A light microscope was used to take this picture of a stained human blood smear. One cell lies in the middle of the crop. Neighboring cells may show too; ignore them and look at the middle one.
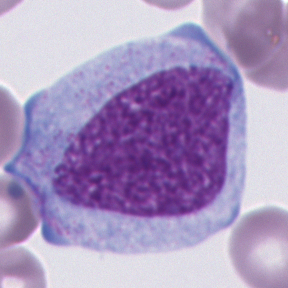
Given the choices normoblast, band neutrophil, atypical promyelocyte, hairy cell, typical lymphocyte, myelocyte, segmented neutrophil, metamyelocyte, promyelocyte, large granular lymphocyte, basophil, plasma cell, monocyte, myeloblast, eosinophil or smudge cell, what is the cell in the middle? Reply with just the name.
promyelocyte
